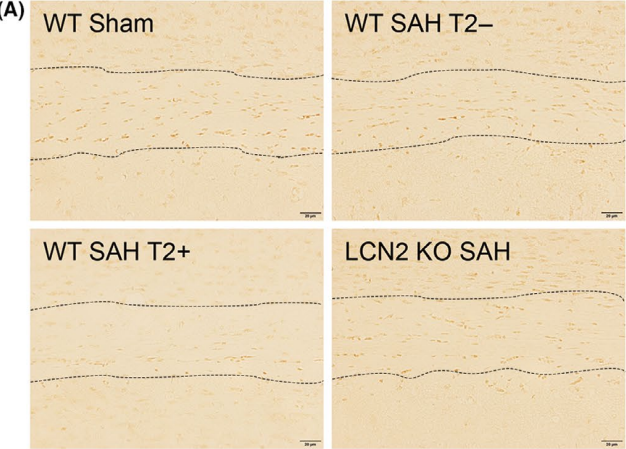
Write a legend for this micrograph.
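The background tissue is pale and unstained. The fields differ in how densely the brown cells are packed within the band; in some the rows are crowded, in others sparser.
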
